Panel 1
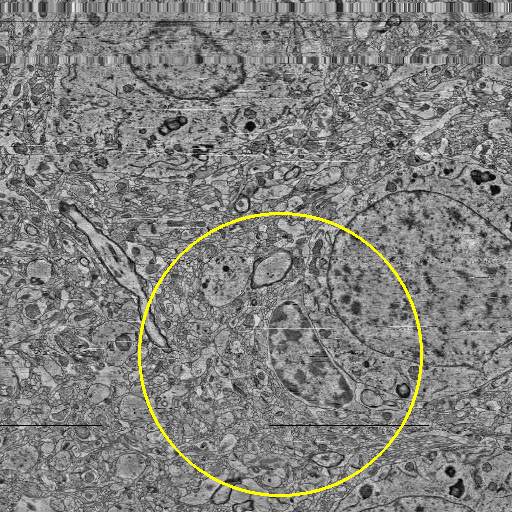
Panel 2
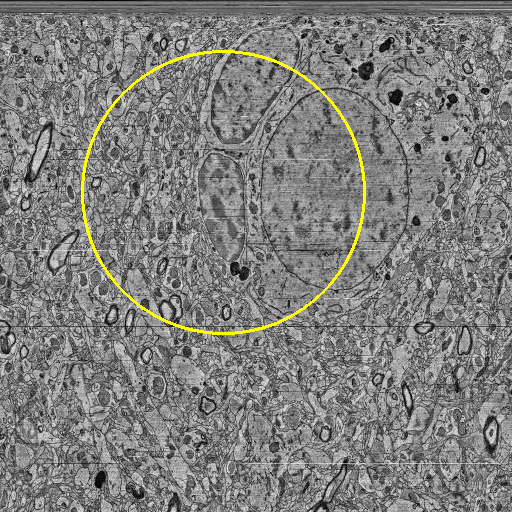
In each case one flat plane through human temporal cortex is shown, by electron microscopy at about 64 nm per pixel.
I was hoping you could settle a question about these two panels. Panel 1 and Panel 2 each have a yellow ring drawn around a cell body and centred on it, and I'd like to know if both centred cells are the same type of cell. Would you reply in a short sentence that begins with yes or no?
Yes, both are the same type of cell.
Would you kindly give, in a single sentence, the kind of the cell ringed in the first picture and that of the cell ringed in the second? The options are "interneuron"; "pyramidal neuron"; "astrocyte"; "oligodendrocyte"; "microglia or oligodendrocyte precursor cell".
In each picture the ringed cell is a microglial cell or oligodendrocyte precursor cell.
